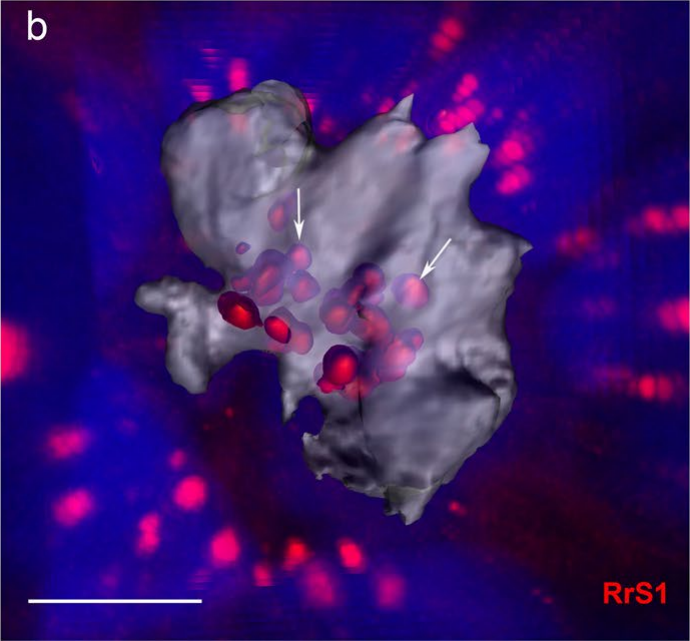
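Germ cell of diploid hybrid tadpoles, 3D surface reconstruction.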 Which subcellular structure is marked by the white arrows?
Centromeres.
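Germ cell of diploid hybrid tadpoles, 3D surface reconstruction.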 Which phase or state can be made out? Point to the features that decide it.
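The grey reconstructed body is irregular with many lobes and projections. Red spots cluster in the middle of the irregular body.
Answer: metaphase chromosome plate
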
